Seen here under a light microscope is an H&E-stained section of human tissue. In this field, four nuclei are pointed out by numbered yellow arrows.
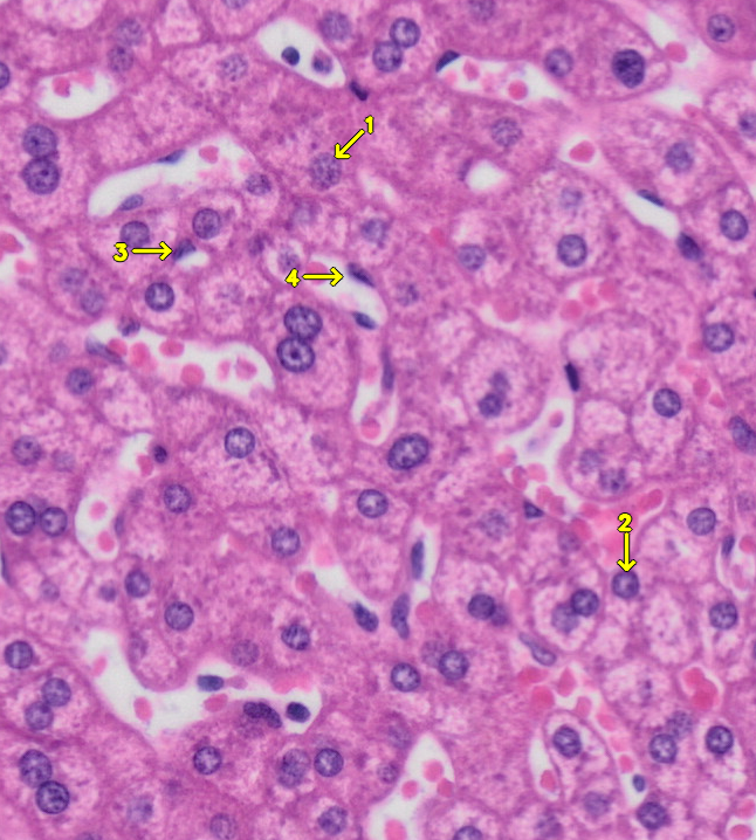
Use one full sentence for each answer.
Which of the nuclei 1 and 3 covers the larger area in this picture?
The larger nucleus is 1, at roughly 2.5 times the area of 3.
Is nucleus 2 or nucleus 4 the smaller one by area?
Number 4 is smaller, since number 2 takes up about 2 times as much area.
